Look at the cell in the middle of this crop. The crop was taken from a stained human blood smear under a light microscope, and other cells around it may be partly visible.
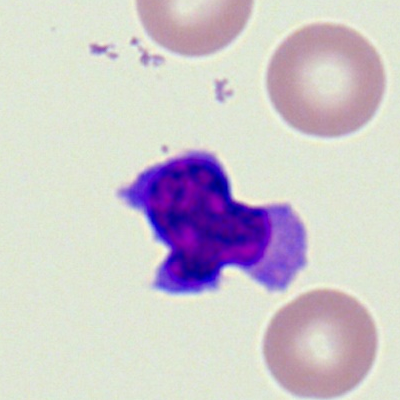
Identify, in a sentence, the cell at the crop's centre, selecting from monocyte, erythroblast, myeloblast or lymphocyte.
Occupying the centre of the crop is a lymphocyte.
